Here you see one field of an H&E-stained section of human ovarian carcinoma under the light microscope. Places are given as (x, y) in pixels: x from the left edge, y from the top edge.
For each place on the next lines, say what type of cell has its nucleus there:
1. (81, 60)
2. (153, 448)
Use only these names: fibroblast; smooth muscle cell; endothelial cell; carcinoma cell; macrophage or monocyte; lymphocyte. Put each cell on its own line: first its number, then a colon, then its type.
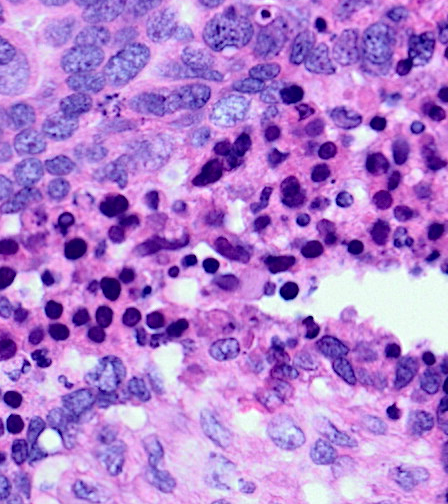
1: carcinoma cell
2: fibroblast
